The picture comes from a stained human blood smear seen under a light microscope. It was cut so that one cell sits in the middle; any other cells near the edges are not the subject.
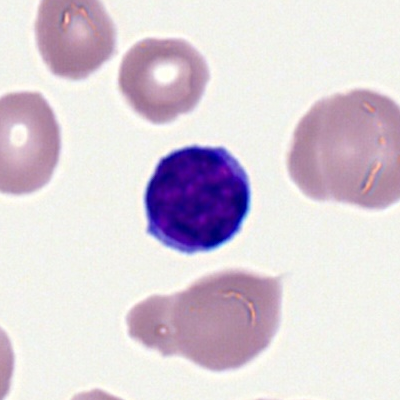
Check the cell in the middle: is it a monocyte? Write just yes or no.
no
